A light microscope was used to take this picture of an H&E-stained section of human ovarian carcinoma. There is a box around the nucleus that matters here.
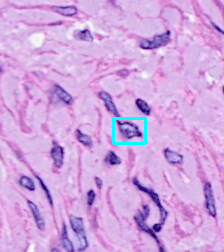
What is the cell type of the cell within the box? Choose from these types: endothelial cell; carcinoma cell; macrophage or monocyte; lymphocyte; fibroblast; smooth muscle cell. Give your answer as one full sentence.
In cell-type terms, the cell within the box is a fibroblast.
